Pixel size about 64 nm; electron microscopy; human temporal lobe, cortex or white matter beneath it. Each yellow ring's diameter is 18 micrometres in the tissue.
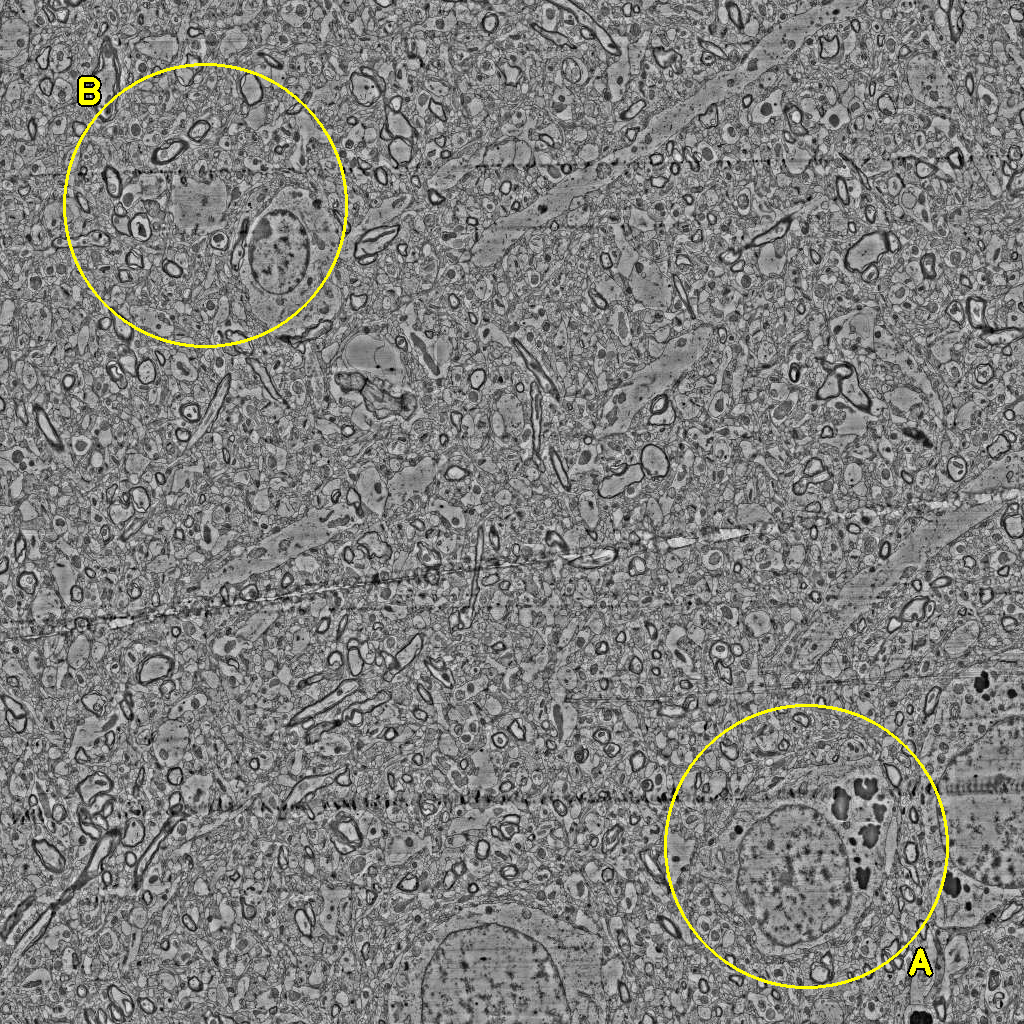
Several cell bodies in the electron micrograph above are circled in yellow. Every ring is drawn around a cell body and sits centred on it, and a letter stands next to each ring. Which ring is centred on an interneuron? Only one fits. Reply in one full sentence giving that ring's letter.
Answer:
The ring centred on the cell asked for is Ring A.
